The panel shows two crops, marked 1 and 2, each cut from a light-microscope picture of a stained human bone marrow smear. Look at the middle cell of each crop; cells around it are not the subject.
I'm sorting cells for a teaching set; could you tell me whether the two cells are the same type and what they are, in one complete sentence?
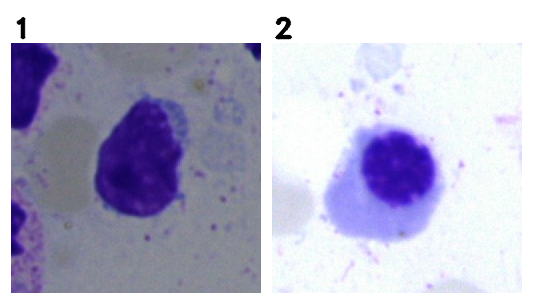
No, in crop 2 the central cell is an erythroblast, and in crop 1 it is a lymphocyte.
